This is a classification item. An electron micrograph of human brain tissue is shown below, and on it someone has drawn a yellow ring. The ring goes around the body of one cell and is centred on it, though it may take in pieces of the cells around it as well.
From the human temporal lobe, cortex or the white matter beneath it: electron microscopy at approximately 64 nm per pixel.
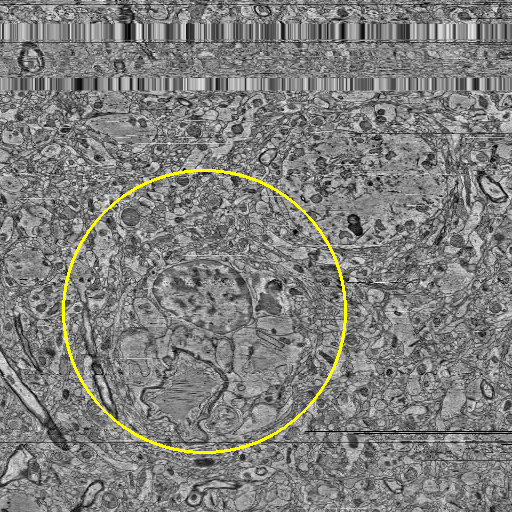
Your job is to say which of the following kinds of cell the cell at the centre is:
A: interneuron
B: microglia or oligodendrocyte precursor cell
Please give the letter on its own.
B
